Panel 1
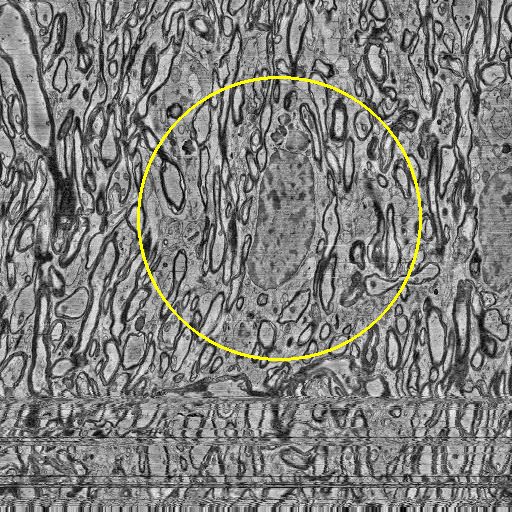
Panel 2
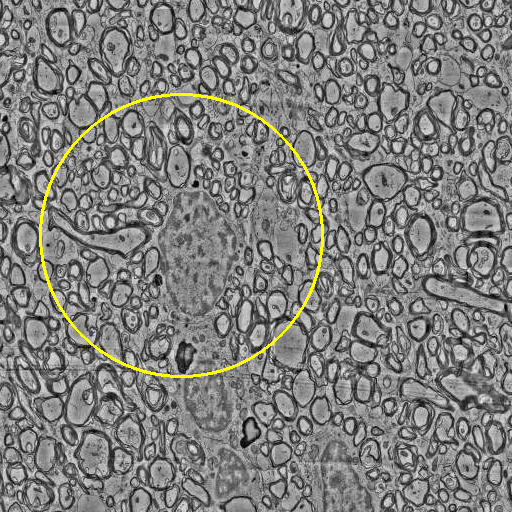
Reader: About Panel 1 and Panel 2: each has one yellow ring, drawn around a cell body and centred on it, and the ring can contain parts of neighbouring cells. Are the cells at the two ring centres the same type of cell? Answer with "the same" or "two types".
two types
